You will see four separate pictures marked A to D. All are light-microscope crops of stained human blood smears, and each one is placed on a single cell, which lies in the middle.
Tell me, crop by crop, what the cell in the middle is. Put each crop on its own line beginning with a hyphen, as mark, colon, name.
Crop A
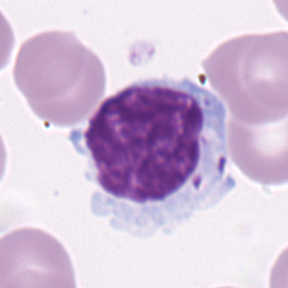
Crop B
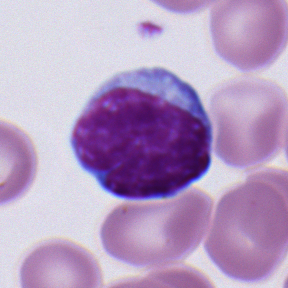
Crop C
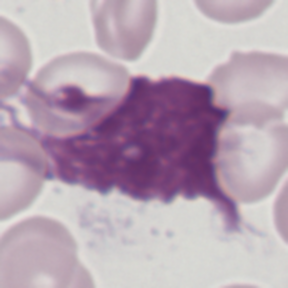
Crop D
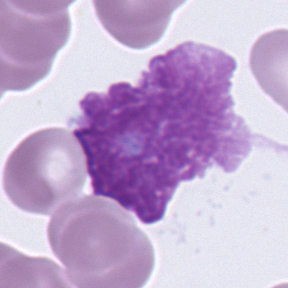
- A: large granular lymphocyte
- B: typical lymphocyte
- C: smudge cell
- D: smudge cell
